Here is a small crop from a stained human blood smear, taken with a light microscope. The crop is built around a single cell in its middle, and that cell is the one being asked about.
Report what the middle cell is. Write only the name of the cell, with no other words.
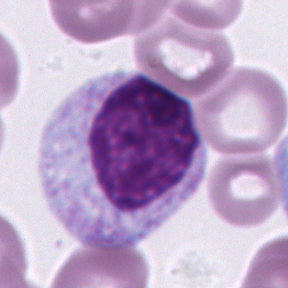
myelocyte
